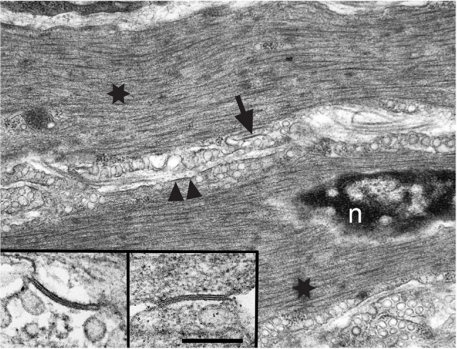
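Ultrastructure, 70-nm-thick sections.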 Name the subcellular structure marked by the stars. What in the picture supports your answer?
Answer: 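The stars lie on fine parallel filaments that run lengthwise through the cytoplasm. The filaments fill most of the cell body. That points to this answer: actin-myosin filaments.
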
